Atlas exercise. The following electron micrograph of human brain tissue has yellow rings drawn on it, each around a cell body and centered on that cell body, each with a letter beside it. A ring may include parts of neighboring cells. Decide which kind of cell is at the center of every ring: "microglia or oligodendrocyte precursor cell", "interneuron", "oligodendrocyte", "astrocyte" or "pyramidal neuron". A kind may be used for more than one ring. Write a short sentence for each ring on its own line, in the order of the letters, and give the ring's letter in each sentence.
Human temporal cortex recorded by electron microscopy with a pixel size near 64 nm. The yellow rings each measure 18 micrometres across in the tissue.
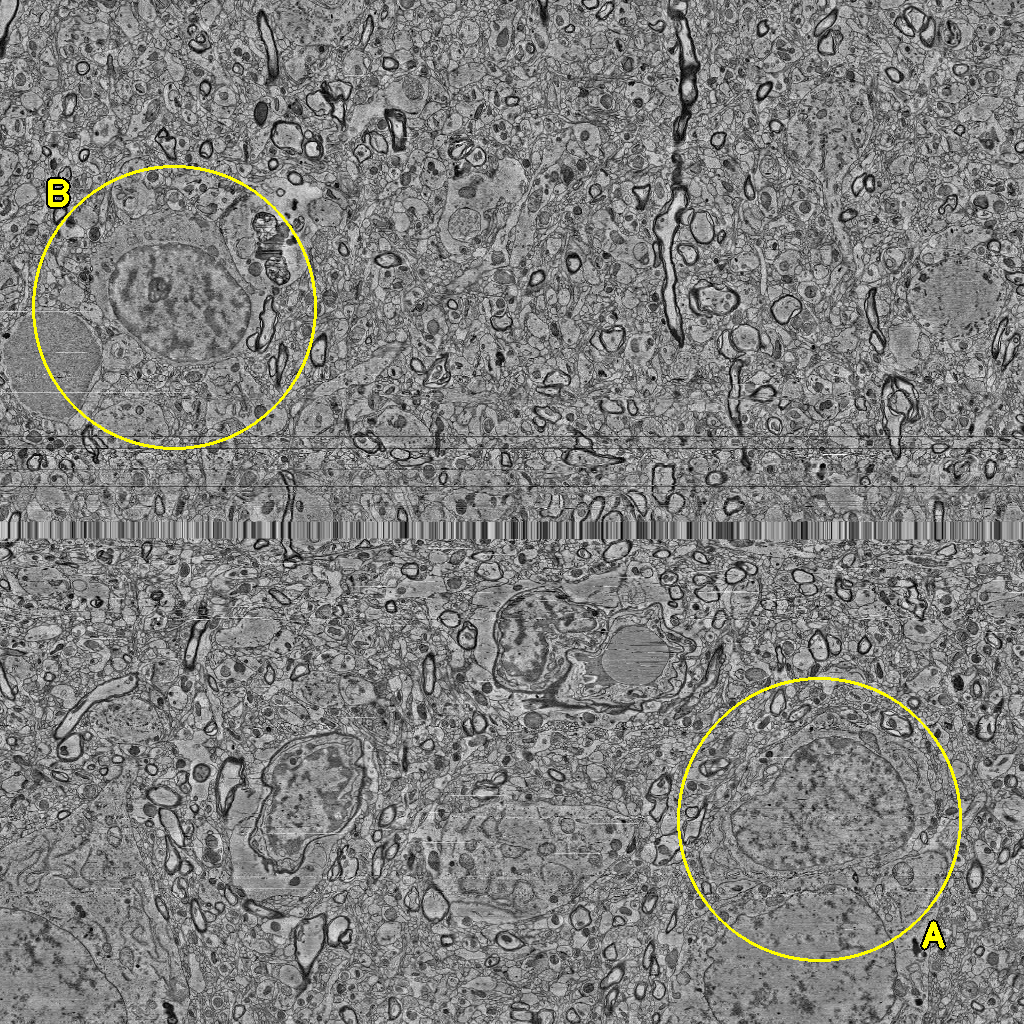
Ring A frames an interneuron at its center.
Ring B frames an oligodendrocyte at its center.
